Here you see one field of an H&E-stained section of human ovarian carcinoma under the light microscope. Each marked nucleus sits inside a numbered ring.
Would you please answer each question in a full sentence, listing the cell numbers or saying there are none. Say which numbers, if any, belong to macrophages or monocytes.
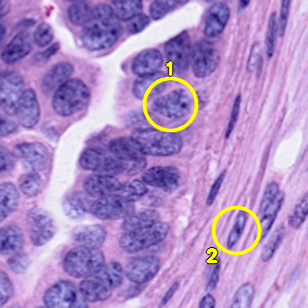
None of the cells labelled with numbers belong to the macrophages or monocytes.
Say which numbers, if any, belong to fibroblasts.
Only number 2 is a fibroblast; none of the others are.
